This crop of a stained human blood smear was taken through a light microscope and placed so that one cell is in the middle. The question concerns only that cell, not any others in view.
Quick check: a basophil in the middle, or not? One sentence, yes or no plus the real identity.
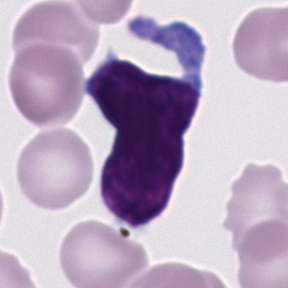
No, that guess of a basophil misses; the central cell is a typical lymphocyte.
